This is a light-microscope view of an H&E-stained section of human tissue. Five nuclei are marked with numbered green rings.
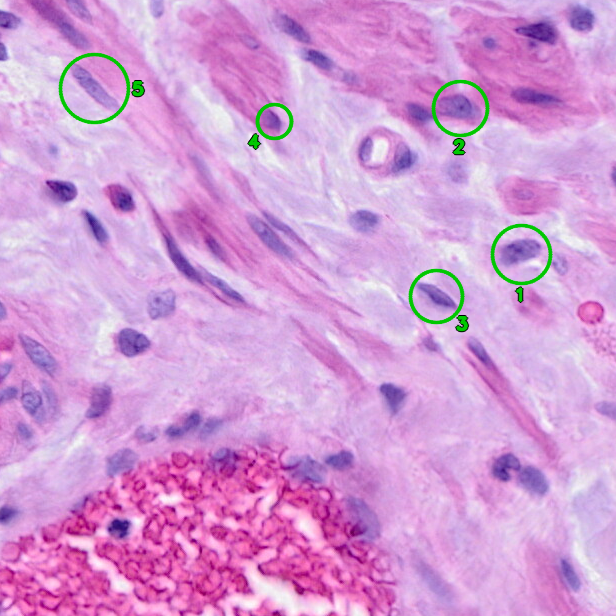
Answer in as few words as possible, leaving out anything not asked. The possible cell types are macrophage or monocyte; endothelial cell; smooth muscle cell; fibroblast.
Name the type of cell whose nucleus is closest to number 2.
smooth muscle cell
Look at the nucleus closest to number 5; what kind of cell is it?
smooth muscle cell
